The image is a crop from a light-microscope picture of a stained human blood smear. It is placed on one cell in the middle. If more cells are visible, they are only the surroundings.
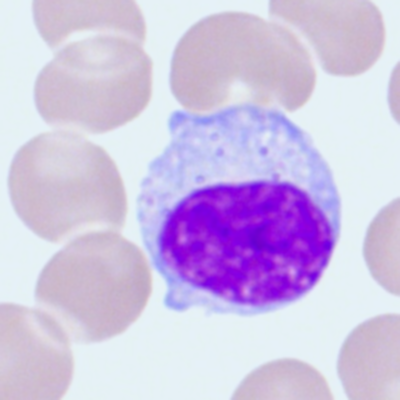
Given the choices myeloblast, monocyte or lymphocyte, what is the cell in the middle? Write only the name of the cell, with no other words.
lymphocyte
